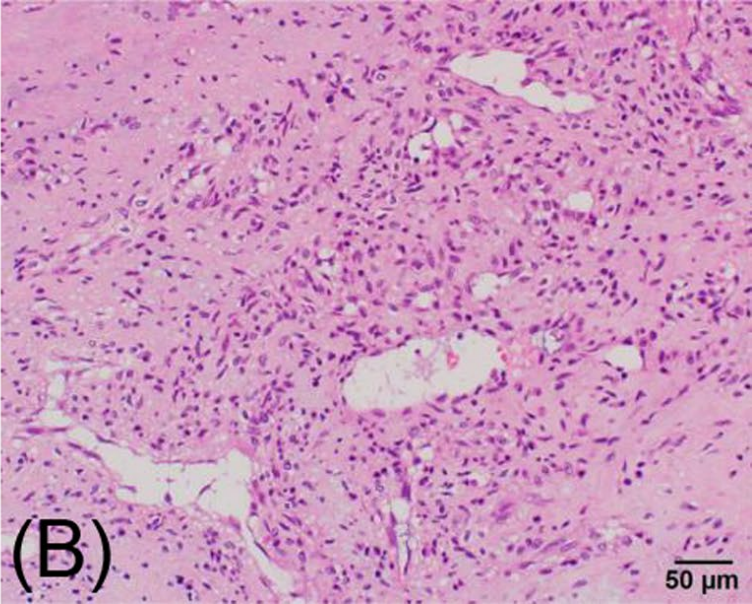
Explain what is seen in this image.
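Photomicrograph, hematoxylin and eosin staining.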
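A loose, cellular connective tissue fills the field, with many spindle-shaped and oval purple nuclei set in a pale pink, finely fibrillar matrix. The cells are not arranged in layers but scattered in loose streams and clusters, denser in the middle of the field. Numerous small, thin-walled spaces, some empty and some holding a little pale material, are lined by flat cells and run between the cells as small vessels. Some areas of the pink matrix look smudged and homogeneous rather than crisply fibrous. Together these features fit granulation tissue with small vessels and fibroblasts amid degenerated collagen, with inflammatory cells mixed in.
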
